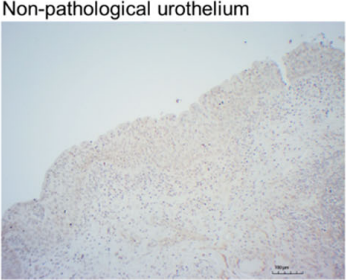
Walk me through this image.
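Beneath the epithelium lies looser connective tissue with scattered nuclei. No appreciable brown staining is seen in either the cytoplasm or the cell membranes.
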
